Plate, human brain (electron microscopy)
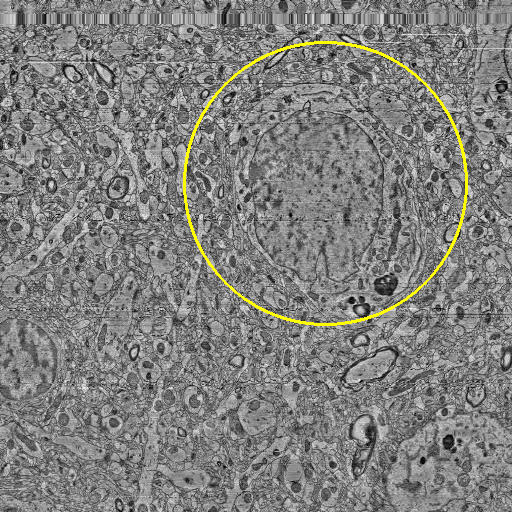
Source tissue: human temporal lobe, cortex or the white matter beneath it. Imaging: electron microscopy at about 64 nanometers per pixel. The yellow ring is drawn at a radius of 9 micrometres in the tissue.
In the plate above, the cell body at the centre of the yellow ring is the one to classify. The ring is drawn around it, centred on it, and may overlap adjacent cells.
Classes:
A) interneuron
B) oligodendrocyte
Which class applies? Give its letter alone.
A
